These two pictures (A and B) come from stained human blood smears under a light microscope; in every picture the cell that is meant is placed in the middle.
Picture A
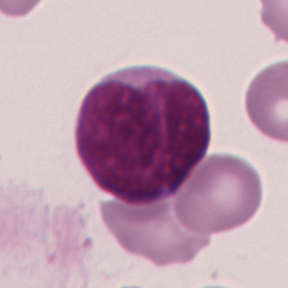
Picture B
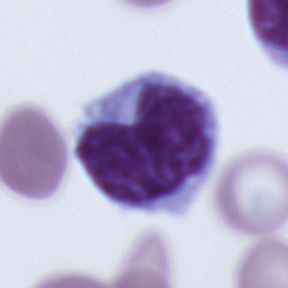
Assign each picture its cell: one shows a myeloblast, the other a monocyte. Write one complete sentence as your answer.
Picture B shows a monocyte, while picture A shows a myeloblast.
